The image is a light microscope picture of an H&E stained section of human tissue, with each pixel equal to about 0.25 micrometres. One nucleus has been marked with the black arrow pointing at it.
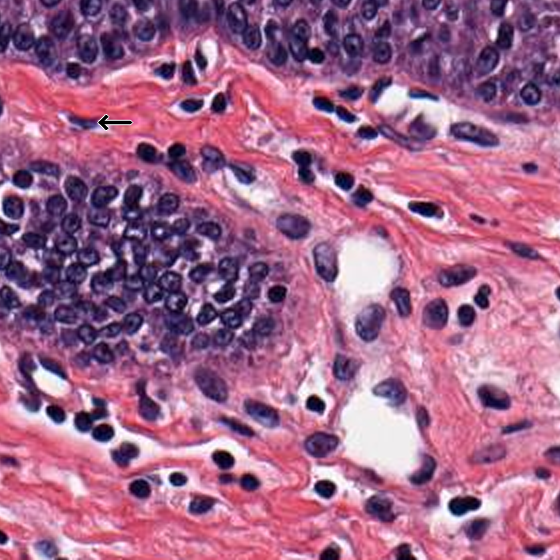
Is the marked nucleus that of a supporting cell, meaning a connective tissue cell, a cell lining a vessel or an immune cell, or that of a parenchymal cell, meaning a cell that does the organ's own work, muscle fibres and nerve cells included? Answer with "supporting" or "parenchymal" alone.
supporting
